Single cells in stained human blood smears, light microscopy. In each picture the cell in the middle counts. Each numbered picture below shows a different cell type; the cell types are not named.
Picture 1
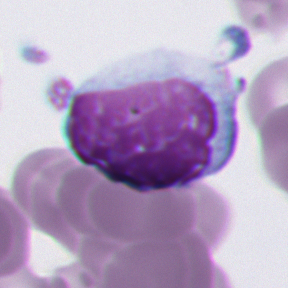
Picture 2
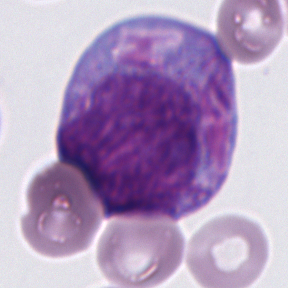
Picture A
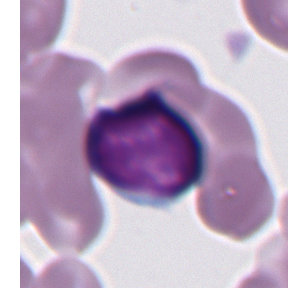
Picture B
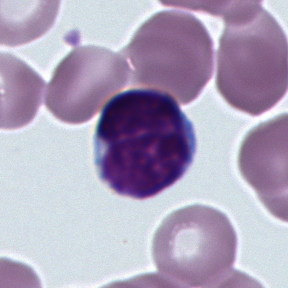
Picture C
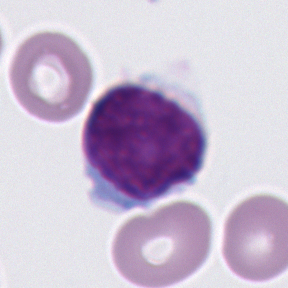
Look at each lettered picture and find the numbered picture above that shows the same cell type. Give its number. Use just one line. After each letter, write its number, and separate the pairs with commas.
A 1, B 1, C 1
